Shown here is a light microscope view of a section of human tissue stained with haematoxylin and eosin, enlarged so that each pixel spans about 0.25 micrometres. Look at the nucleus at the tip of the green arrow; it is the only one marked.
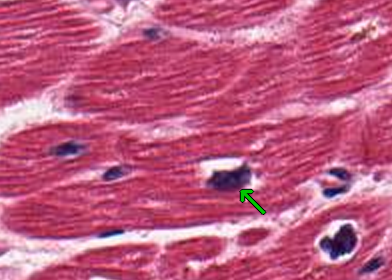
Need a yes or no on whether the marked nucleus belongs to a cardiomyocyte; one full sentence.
Yes, the marked nucleus is the nucleus of a cardiomyocyte.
